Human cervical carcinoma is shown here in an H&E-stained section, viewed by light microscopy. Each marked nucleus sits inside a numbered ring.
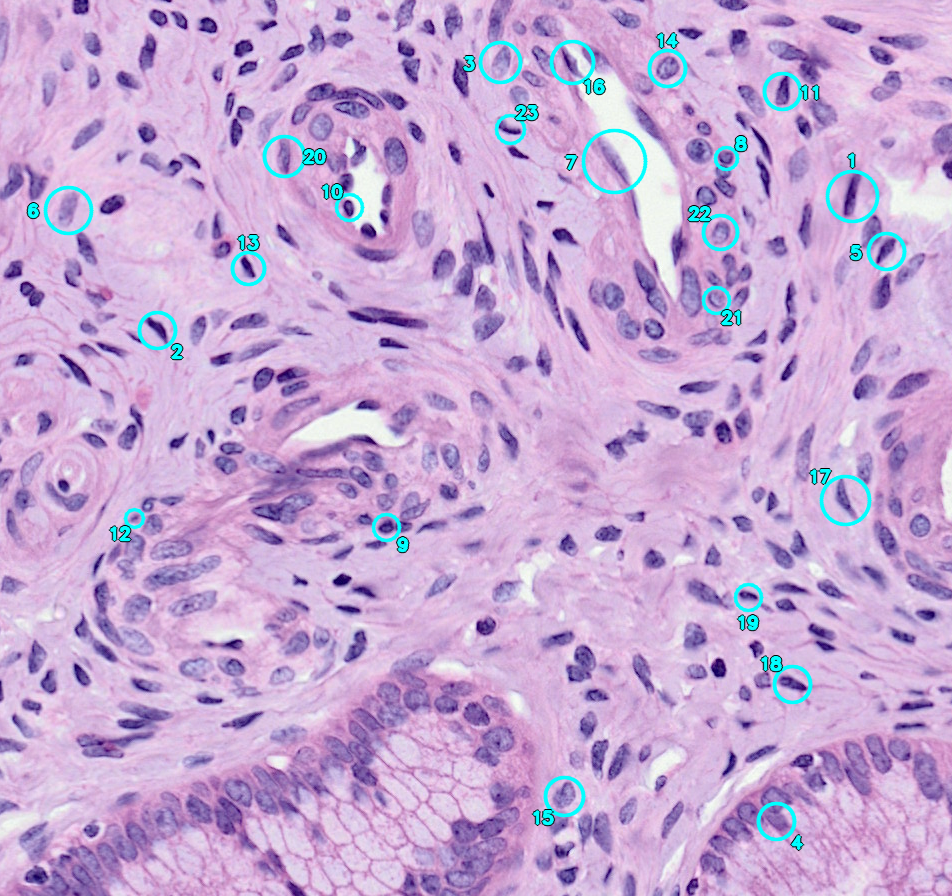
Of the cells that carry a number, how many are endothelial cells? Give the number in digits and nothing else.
3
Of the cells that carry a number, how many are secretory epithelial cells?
1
